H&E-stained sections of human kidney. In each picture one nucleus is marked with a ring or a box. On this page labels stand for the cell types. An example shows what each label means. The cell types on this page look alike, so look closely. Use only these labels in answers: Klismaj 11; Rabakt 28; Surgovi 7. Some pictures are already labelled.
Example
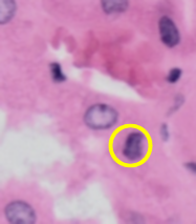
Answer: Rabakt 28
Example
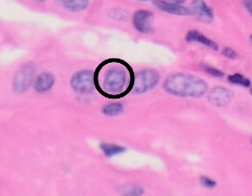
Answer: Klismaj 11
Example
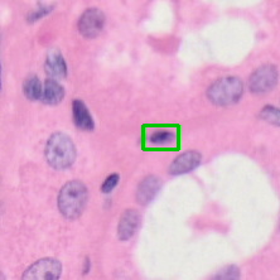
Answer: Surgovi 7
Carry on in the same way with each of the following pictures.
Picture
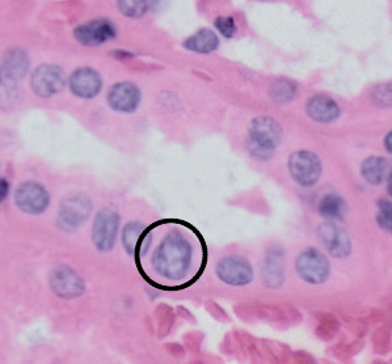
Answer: Klismaj 11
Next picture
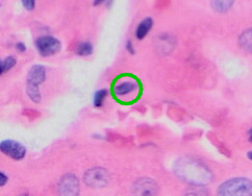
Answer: Surgovi 7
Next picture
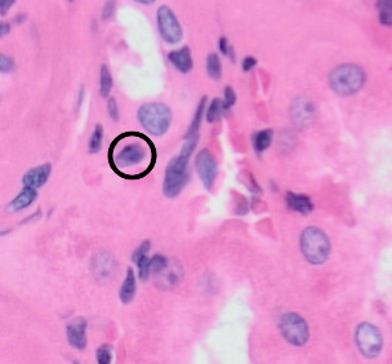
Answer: Surgovi 7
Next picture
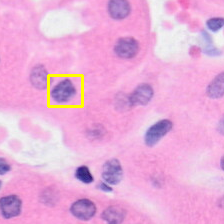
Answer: Rabakt 28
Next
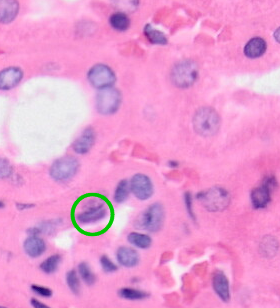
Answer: Klismaj 11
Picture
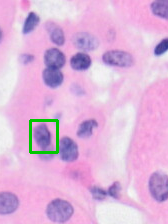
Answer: Klismaj 11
